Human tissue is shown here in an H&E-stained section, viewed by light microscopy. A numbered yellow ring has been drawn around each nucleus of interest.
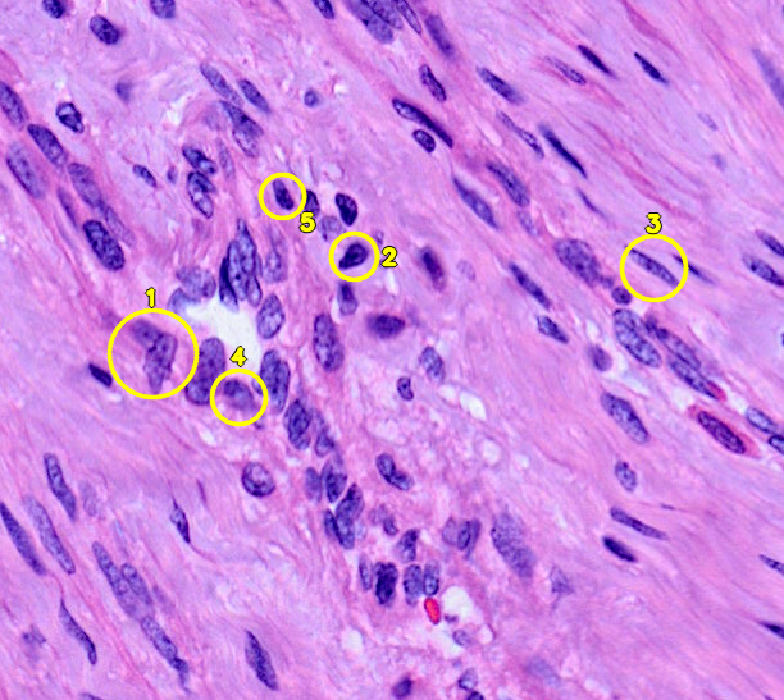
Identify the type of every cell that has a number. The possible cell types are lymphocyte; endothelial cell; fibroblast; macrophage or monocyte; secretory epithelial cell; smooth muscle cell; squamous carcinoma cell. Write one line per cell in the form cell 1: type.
cell 1: endothelial cell
cell 2: lymphocyte
cell 3: fibroblast
cell 4: endothelial cell
cell 5: lymphocyte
